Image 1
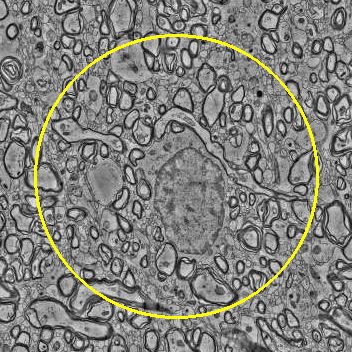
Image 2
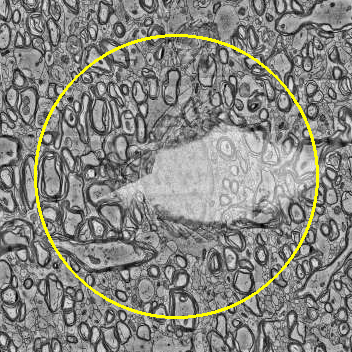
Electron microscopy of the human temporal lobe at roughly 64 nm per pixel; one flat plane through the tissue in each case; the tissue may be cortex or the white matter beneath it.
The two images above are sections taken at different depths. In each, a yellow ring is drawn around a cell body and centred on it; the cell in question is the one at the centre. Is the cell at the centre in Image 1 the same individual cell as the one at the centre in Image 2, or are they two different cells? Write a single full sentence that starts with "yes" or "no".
No, the two rings are not on the same cell.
